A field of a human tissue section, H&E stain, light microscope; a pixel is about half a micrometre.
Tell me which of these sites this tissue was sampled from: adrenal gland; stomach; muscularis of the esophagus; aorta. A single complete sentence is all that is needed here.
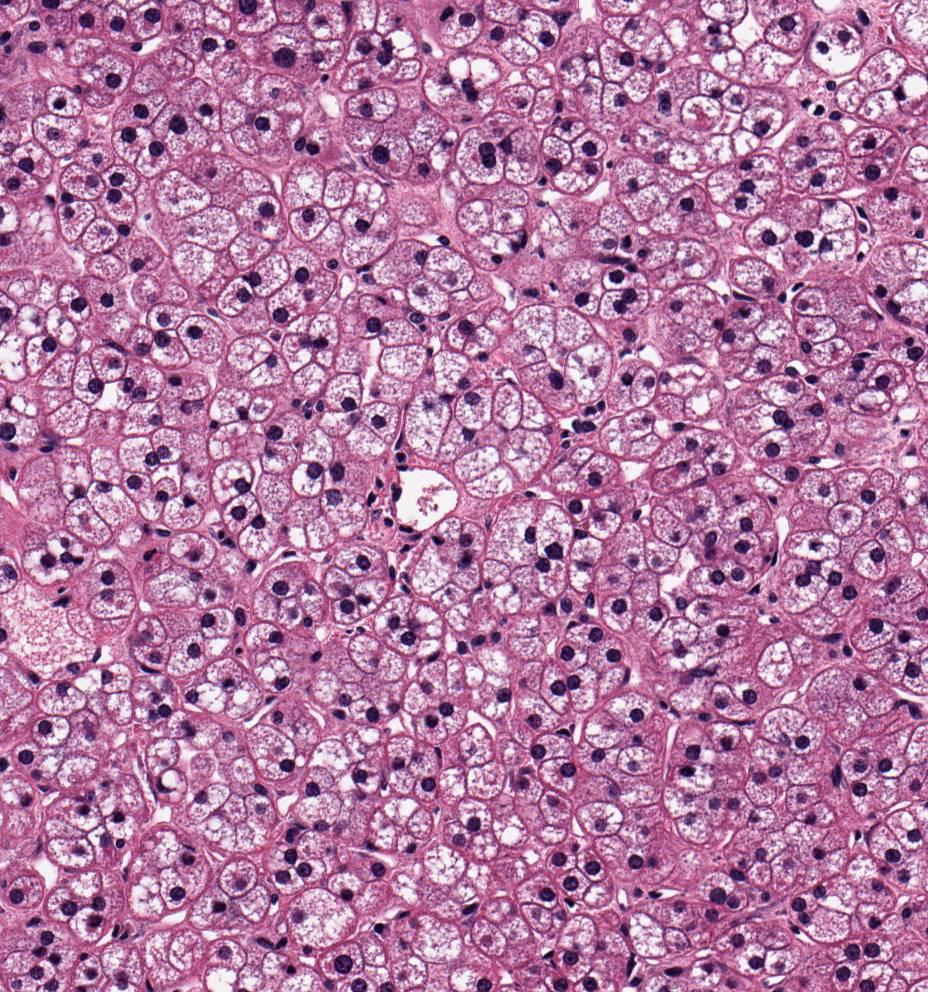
This tissue specimen derives from the adrenal gland.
